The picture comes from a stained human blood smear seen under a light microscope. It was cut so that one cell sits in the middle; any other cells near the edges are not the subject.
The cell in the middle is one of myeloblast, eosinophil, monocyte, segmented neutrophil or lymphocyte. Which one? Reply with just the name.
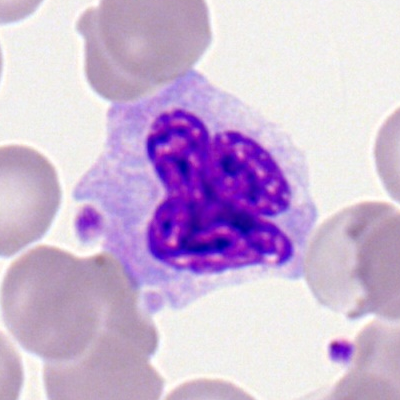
monocyte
